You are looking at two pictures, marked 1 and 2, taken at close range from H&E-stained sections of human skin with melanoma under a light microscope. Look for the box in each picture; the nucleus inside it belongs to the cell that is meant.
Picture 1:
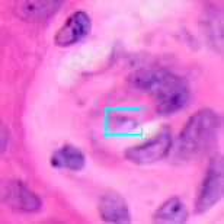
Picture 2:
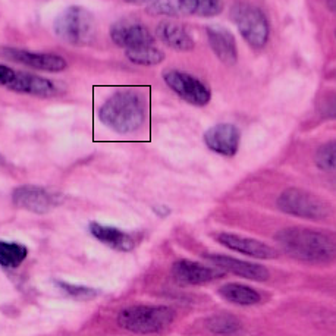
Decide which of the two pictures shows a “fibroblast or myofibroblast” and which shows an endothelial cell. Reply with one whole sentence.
Picture 1 is of an endothelial cell, and picture 2 is of a “fibroblast or myofibroblast”.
